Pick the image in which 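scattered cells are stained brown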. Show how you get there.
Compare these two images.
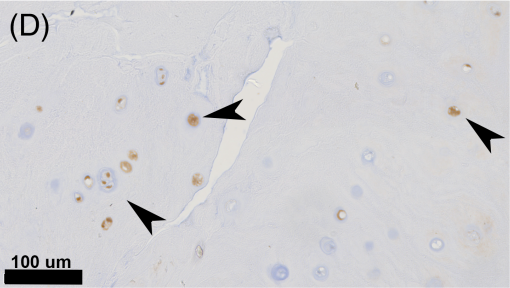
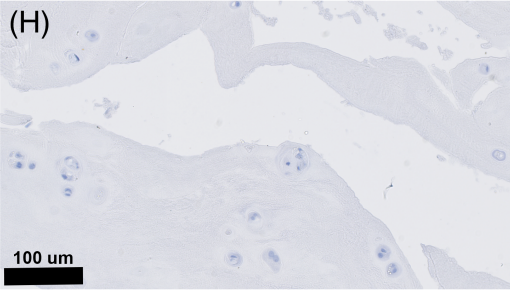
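Second image: all cells in the pale matrix show only blue nuclei, no brown. First image: many single cells in lacunae are brown. The answer: the first image.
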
